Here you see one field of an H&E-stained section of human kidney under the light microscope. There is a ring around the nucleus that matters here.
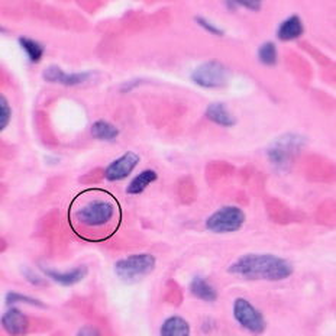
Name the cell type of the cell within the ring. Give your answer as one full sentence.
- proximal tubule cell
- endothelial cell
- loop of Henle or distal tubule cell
In cell-type terms, the cell within the ring is an endothelial cell.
